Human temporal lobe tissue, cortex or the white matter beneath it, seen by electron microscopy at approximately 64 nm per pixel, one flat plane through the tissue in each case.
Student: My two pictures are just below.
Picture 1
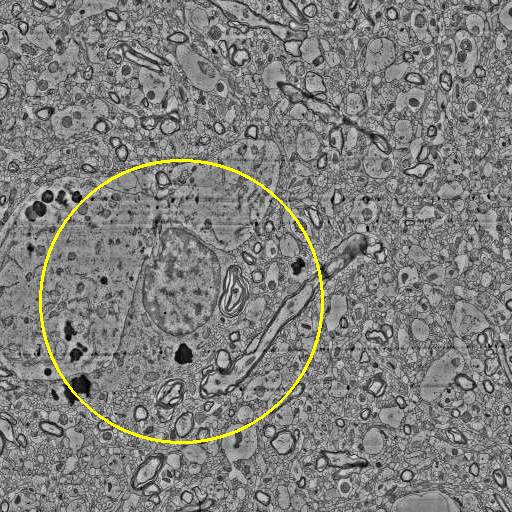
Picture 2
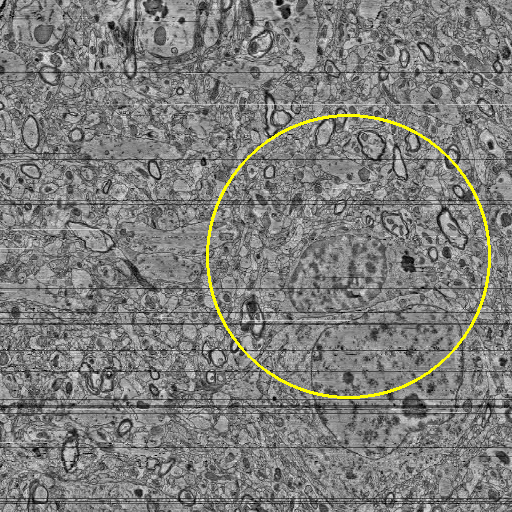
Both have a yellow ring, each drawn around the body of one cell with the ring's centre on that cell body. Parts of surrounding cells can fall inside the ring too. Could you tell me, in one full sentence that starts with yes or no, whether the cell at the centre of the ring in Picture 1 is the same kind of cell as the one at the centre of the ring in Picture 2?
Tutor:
Yes, the two cells are of the same kind.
